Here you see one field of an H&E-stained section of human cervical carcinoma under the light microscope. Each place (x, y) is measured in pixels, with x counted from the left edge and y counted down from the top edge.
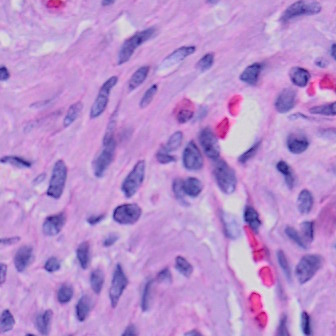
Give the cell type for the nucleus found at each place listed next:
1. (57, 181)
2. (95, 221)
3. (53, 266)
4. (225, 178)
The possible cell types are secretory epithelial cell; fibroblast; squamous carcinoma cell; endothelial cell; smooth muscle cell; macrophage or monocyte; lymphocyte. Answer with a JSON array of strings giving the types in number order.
["fibroblast", "fibroblast", "fibroblast", "endothelial cell"]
